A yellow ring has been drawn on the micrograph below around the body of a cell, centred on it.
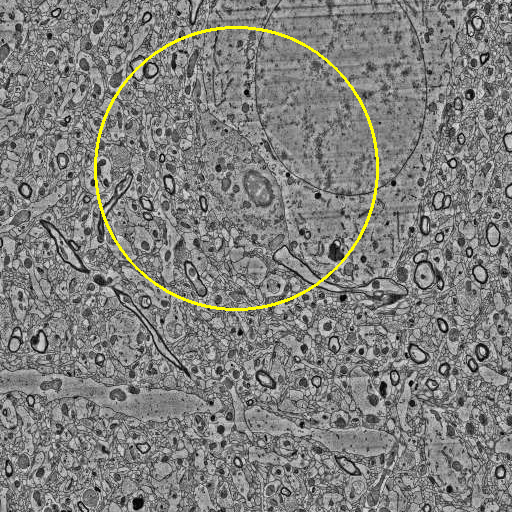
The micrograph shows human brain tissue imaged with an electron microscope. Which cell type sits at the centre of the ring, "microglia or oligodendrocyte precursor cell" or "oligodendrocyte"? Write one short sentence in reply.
The cell sitting at the centre of the ring is an oligodendrocyte.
